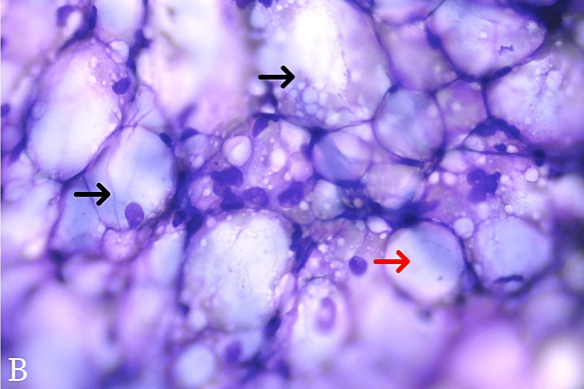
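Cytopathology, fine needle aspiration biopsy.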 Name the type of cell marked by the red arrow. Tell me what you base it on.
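Mature adipocytes. The arrowed cell is large and rounded, filled by one clear vacuole. Only a thin purple rim of cytoplasm surrounds the vacuole.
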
